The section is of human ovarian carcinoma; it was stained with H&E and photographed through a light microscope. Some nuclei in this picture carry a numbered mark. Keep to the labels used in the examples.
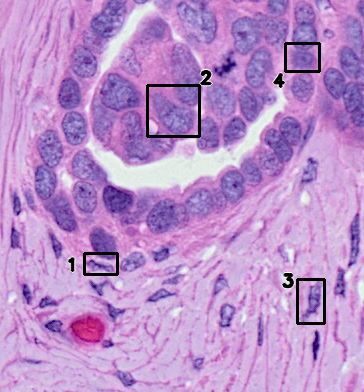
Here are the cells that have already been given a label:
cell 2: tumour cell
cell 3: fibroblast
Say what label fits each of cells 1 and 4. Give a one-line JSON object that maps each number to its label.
{"1": "fibroblast", "4": "tumour cell"}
